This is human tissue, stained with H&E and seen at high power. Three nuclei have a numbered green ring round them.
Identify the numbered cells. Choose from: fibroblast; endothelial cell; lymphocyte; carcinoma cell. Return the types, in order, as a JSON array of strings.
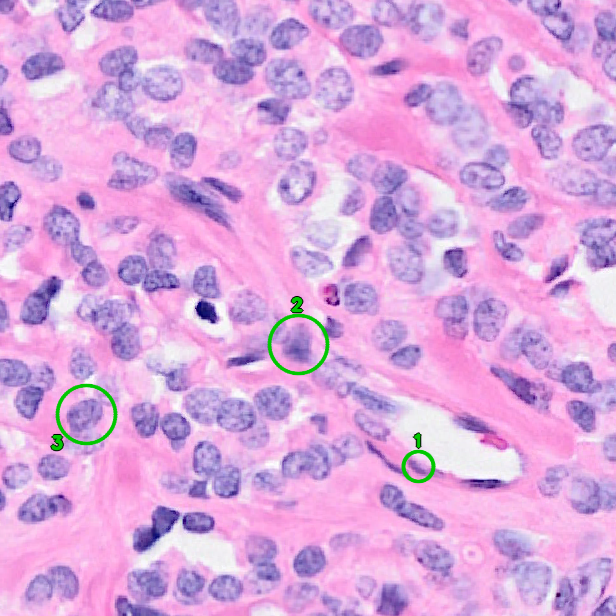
["endothelial cell", "endothelial cell", "carcinoma cell"]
